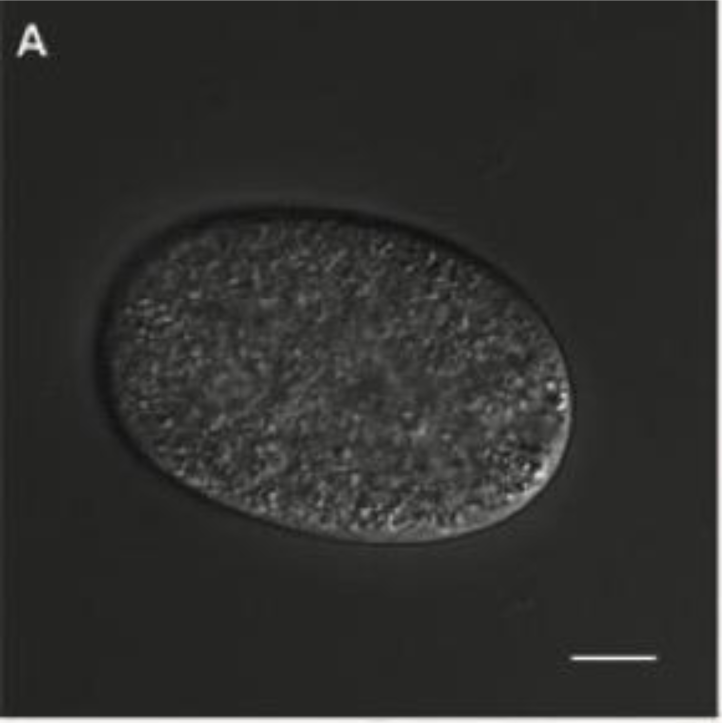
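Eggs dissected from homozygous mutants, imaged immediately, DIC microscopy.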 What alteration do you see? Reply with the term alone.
Filling the eggshell completely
